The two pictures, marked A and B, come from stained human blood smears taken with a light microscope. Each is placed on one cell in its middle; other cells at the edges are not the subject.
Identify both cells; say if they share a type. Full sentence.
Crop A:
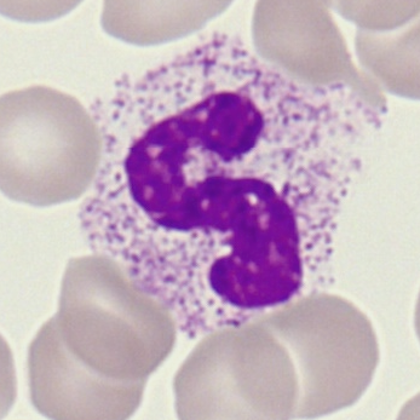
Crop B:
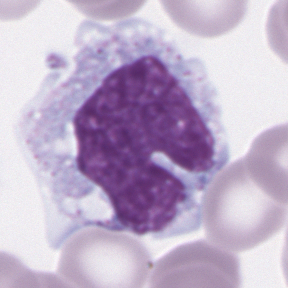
No, the cell shown in crop A is a band neutrophil, and the cell shown in crop B is a monocyte.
